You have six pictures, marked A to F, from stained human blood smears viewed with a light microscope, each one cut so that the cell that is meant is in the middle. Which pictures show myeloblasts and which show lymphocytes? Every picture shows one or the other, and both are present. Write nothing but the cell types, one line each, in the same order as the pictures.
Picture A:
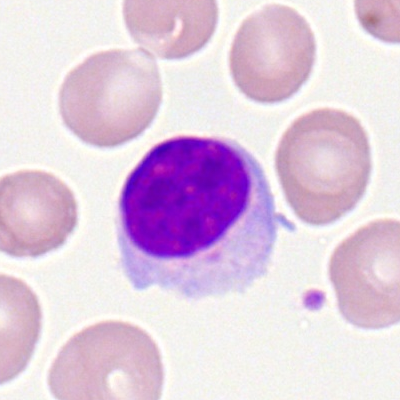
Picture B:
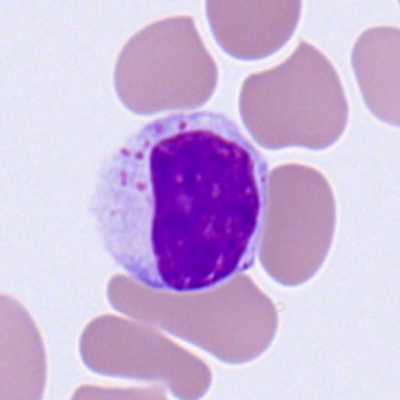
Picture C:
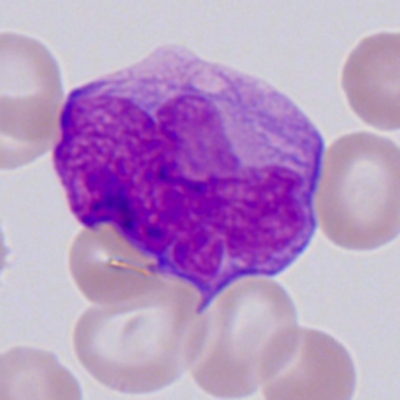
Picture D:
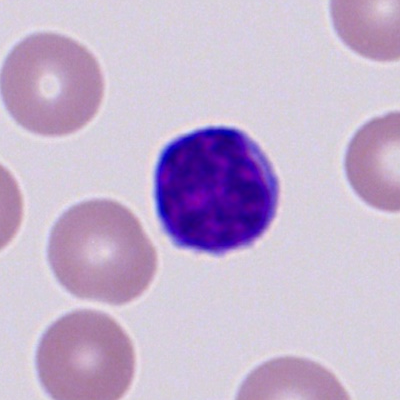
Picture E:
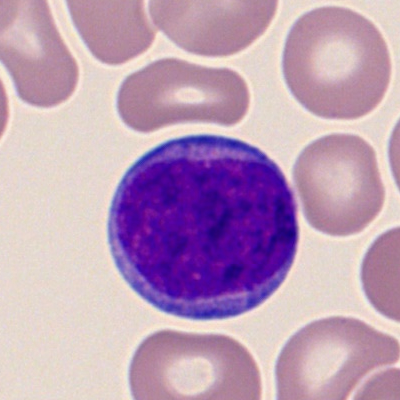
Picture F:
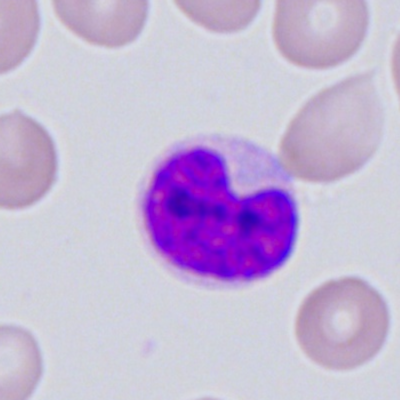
lymphocyte
lymphocyte
myeloblast
lymphocyte
myeloblast
lymphocyte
